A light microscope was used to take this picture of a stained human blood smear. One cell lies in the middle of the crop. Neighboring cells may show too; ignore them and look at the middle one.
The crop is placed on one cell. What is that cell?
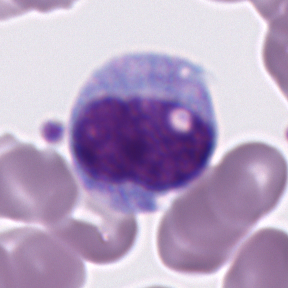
monocyte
